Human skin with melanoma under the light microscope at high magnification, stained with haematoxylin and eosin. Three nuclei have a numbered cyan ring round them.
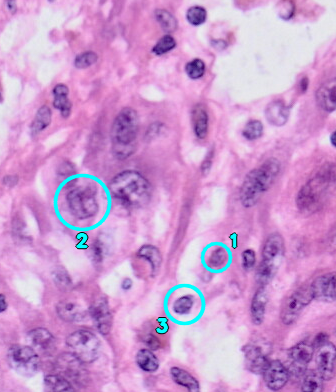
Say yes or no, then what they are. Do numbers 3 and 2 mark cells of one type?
No, the cell at number 3 is a lymphocyte, and the cell at number 2 is a melanoma cell.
